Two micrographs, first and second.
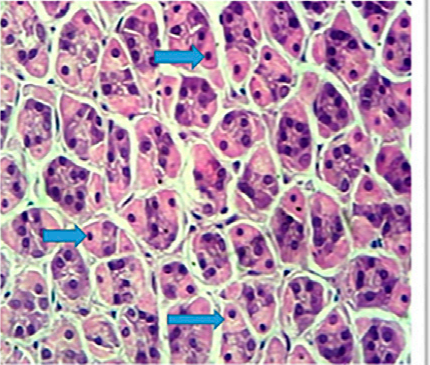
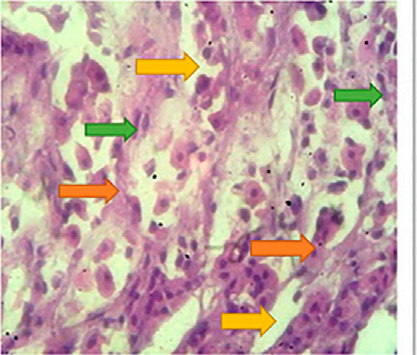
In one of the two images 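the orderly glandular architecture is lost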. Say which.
The second image.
